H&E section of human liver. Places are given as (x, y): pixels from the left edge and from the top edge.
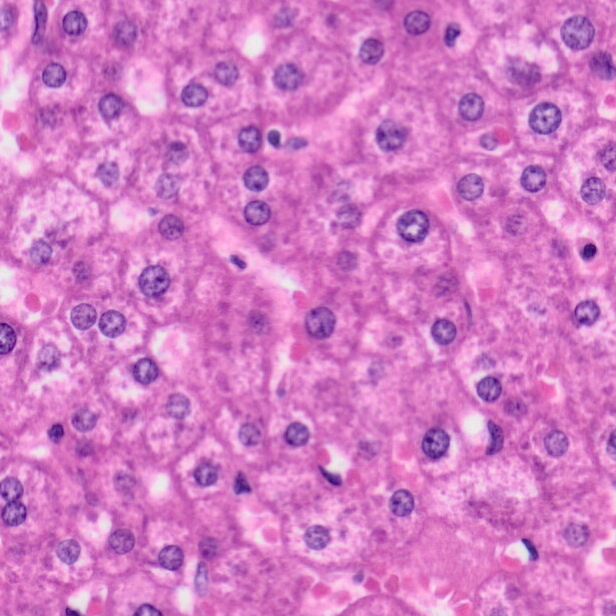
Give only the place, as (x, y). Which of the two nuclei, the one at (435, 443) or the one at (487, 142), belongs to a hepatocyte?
(435, 443)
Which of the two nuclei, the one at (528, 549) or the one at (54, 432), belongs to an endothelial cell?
(528, 549)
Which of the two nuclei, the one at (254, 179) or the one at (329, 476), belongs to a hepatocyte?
(254, 179)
